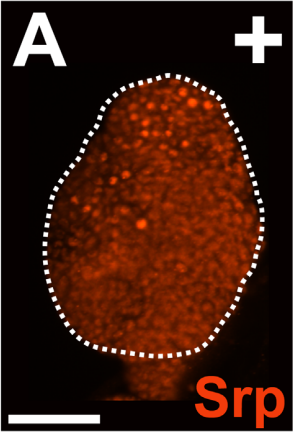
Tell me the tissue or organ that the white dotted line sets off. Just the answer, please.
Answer: Lymph gland.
